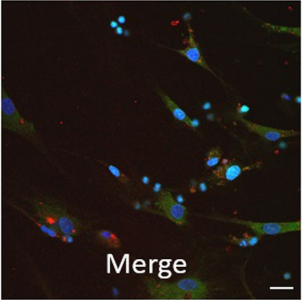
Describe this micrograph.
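Several are elongated or star-shaped, with long slender processes reaching out across the field, and each holds an oval blue nucleus. A faint green glow fills their cytoplasm and processes, while red appears as small dots and clumps close to some nuclei. Scattered among them are small round, brightly stained bodies that are much smaller than the spread cells.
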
